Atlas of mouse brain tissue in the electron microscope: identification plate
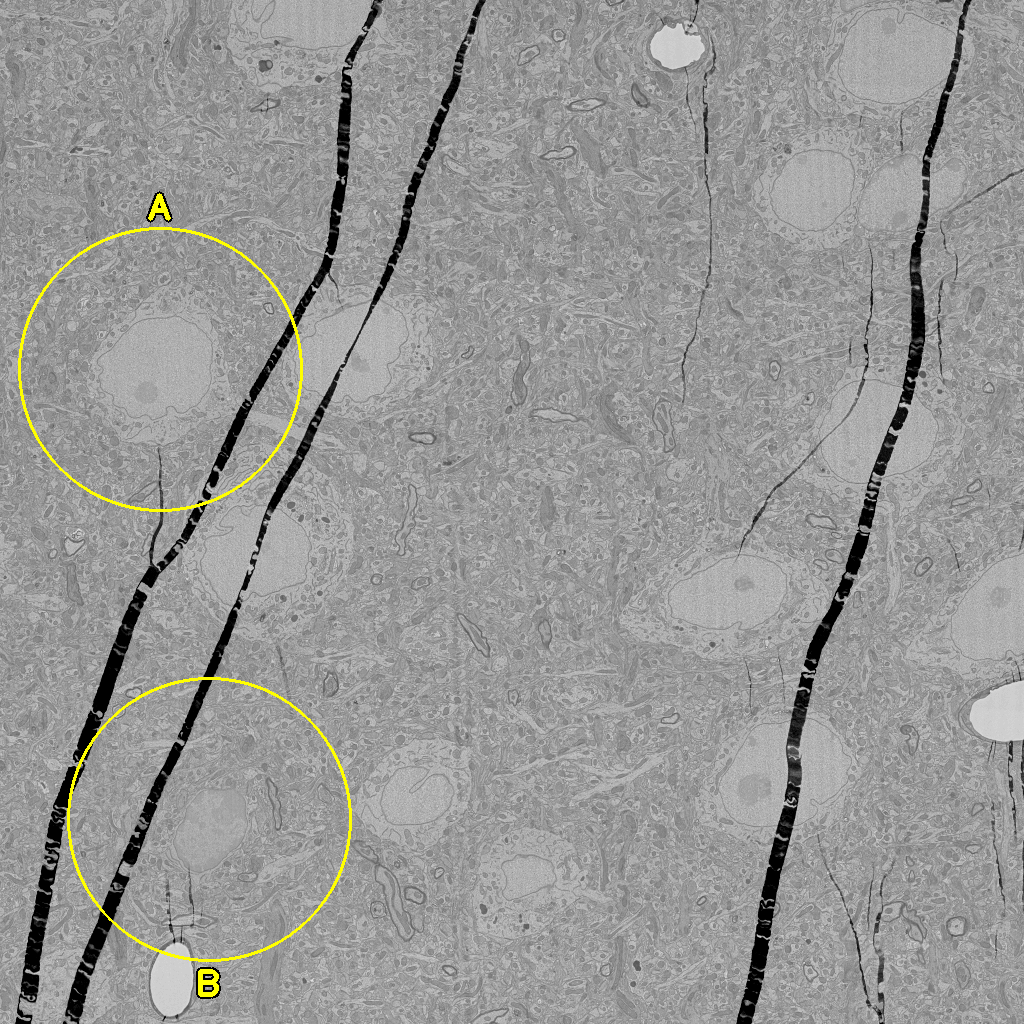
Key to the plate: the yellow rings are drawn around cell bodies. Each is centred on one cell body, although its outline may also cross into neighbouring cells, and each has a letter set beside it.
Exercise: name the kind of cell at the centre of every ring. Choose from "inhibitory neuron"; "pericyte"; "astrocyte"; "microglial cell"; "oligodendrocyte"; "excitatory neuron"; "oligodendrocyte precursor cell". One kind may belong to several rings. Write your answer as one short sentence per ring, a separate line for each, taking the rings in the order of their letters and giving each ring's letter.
The centre of ring A is occupied by an excitatory neuron.
The centre of ring B is occupied by a microglial cell.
